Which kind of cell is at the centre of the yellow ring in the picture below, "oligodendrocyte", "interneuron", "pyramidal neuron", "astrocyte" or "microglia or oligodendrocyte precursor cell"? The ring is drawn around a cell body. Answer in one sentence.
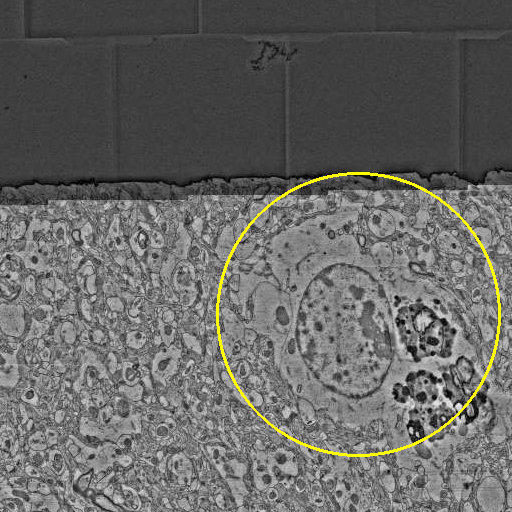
The ring's central cell is an astrocyte.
